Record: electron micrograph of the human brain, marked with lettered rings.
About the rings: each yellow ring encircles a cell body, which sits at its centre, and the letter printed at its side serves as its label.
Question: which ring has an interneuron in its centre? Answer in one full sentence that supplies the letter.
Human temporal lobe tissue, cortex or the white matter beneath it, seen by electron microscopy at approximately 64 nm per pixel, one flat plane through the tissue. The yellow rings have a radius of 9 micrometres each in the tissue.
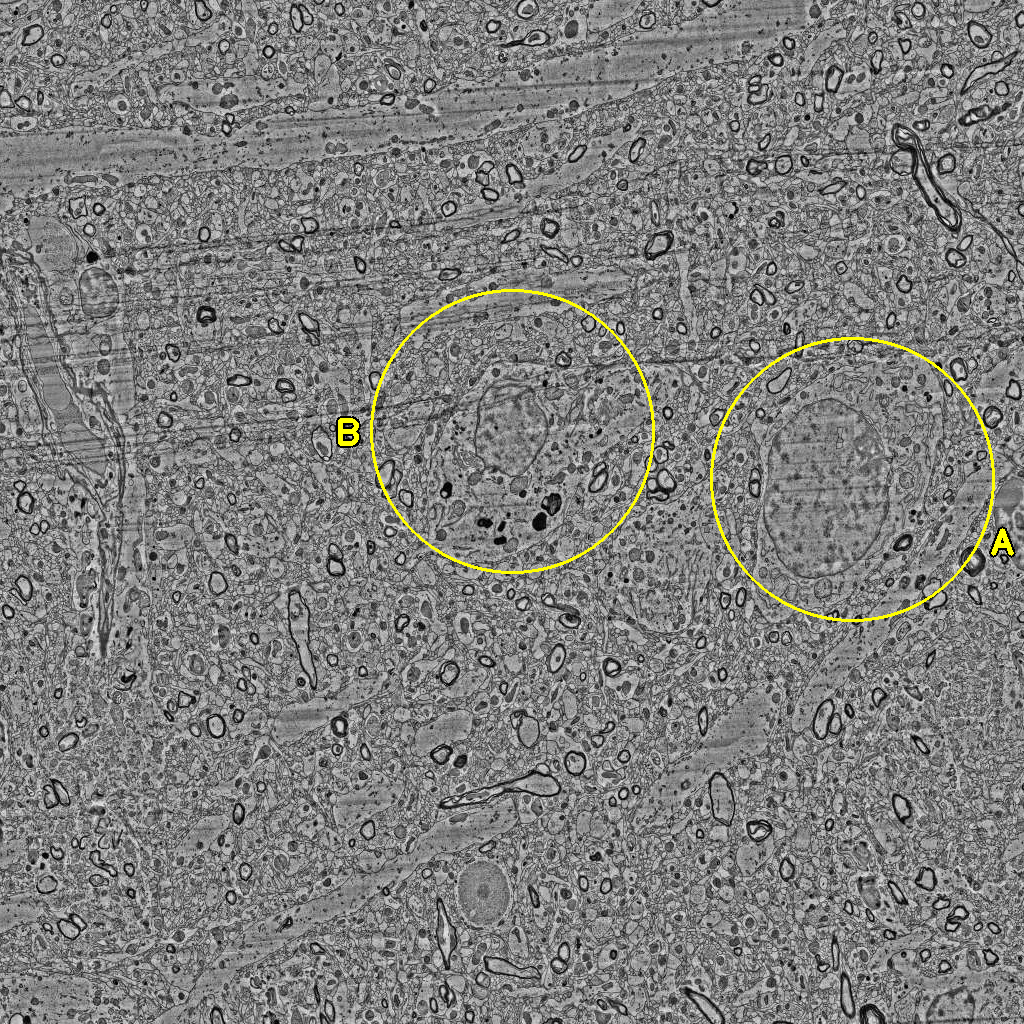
Within the picture, a cell of that kind is centred inside the ring marked A.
